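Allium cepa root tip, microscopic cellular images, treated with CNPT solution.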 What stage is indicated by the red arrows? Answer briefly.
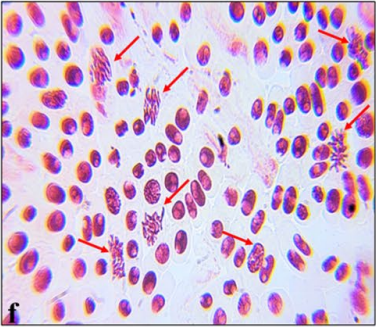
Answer: dividing cells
